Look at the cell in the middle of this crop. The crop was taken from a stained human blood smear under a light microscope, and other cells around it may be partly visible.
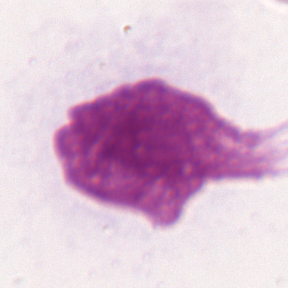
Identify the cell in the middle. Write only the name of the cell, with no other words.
smudge cell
